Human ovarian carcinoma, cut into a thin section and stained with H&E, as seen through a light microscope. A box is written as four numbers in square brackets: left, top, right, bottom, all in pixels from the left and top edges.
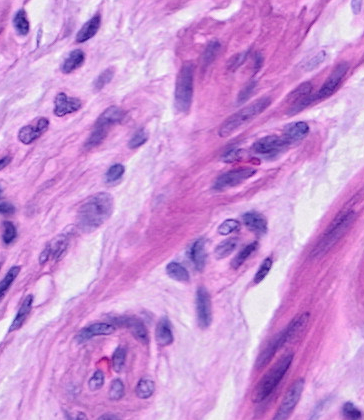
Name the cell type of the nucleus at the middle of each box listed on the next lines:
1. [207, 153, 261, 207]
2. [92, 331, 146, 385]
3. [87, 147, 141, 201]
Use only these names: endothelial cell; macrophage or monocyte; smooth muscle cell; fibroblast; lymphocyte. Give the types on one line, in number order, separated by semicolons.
endothelial cell; endothelial cell; lymphocyte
